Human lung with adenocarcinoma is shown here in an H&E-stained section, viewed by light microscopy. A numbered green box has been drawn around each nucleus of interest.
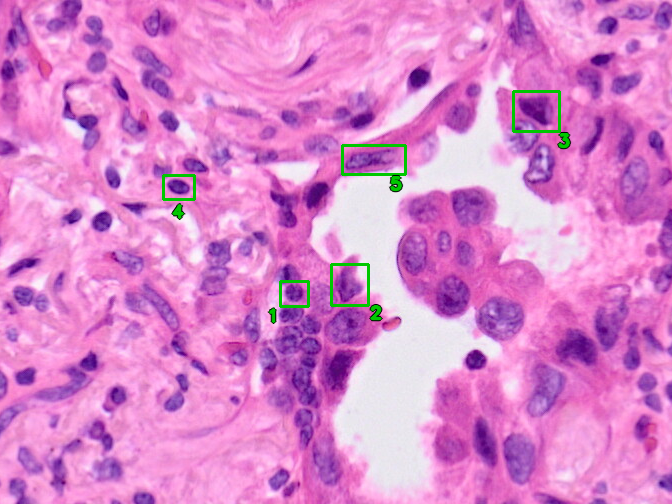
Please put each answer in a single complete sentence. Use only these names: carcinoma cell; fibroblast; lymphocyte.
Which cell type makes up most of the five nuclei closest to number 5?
Fibroblasts account for more than half of the five nuclei nearest to number 5.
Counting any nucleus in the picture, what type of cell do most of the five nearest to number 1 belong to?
Of the five nuclei nearest to number 1, most belong to lymphocytes.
